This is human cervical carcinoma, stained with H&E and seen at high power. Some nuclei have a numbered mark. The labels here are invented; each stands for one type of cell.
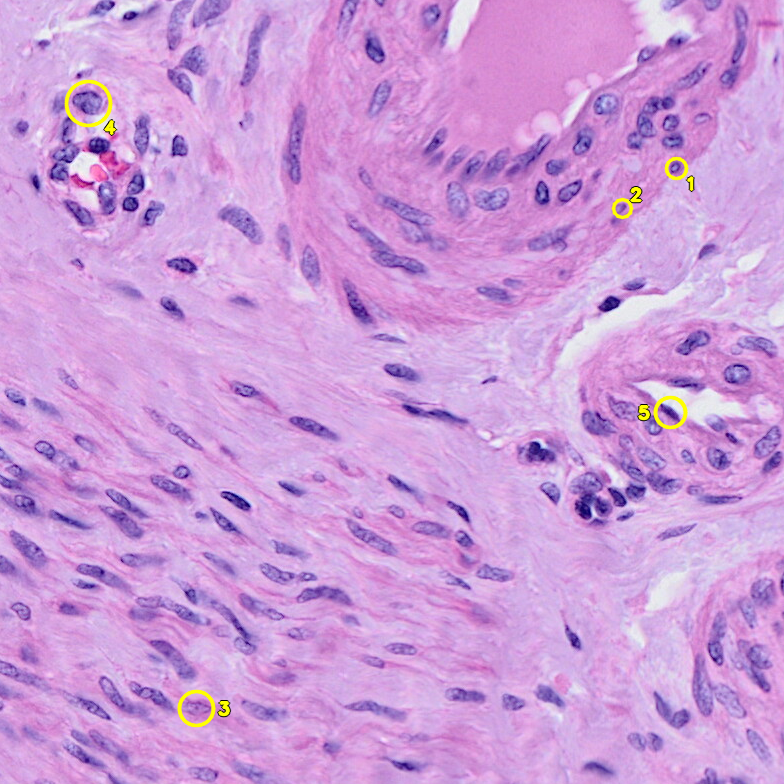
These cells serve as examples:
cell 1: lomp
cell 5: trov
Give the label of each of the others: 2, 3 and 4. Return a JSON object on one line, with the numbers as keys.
{"2": "lomp", "3": "lomp", "4": "trov"}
